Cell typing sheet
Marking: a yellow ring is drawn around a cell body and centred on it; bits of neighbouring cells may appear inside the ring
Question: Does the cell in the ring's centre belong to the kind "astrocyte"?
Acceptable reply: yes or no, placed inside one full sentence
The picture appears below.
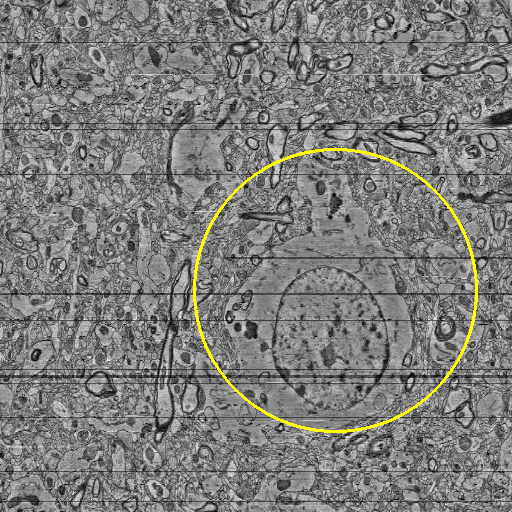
Yes, the cell in the centre of the ring is of the kind asked about.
